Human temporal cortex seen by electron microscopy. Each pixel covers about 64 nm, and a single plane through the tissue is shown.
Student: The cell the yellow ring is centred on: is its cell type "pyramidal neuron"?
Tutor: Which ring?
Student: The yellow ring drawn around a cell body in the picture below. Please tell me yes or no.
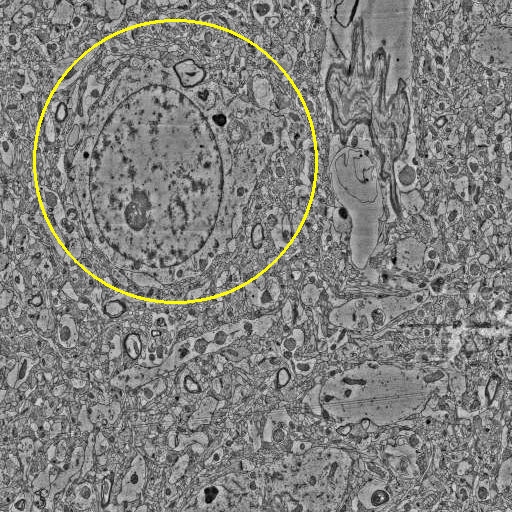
yes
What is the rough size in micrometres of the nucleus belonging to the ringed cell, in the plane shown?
In this plane the nucleus measures roughly 12 by 9 micrometres.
